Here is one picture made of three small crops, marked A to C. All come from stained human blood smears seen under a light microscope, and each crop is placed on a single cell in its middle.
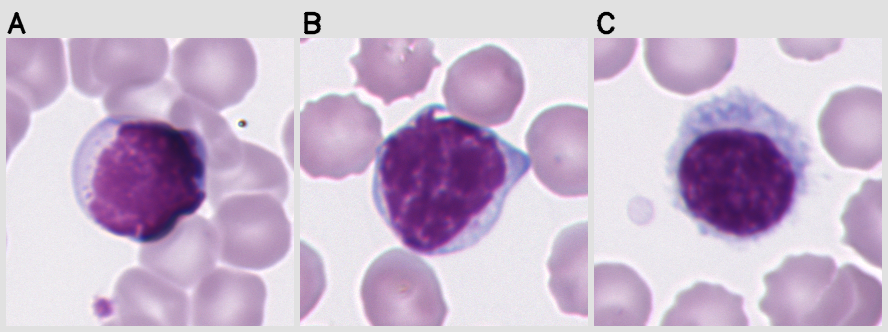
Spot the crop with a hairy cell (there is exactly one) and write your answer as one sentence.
Look at crop C; that is the one with a hairy cell in its center.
